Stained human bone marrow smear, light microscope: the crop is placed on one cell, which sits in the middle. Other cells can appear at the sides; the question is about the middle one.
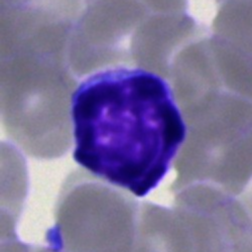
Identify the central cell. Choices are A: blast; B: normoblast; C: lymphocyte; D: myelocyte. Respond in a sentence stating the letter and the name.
The central cell of the crop is a lymphocyte, which makes C the correct option.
